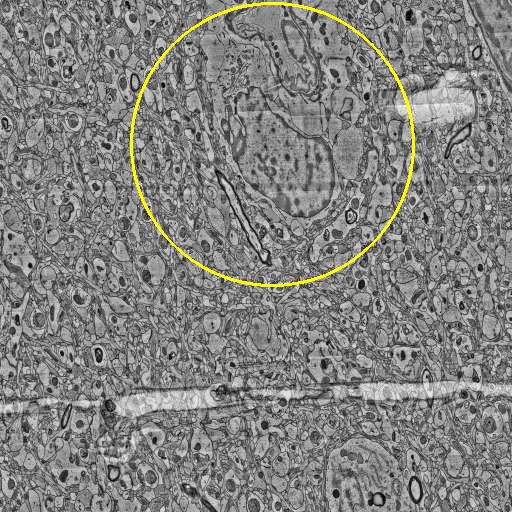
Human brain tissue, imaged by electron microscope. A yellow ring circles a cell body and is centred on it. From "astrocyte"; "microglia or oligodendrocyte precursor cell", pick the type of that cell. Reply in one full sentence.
The cell body at the centre of the yellow ring belongs to a microglial cell or oligodendrocyte precursor cell.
